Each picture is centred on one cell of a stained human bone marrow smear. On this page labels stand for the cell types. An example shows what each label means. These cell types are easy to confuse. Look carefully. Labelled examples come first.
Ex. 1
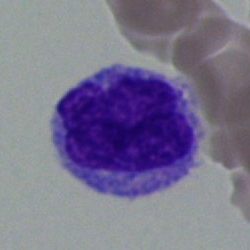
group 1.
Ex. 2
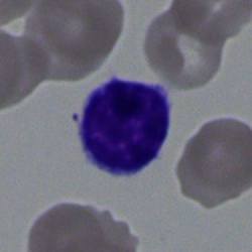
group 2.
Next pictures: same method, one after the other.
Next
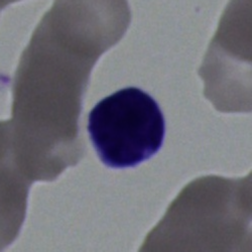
group 2.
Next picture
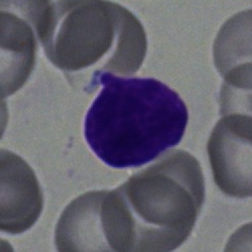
group 2.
